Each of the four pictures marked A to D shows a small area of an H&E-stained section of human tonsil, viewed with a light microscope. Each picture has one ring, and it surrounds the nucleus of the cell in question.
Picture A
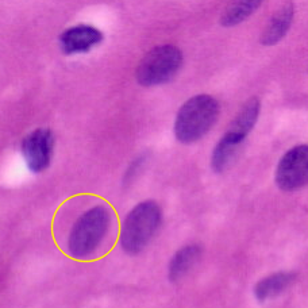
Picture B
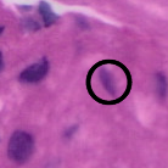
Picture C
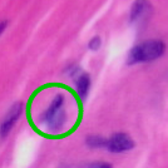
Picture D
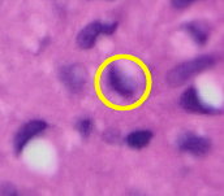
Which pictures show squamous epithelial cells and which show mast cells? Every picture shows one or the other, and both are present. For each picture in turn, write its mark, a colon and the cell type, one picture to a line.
A: squamous epithelial cell
B: squamous epithelial cell
C: mast cell
D: squamous epithelial cell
